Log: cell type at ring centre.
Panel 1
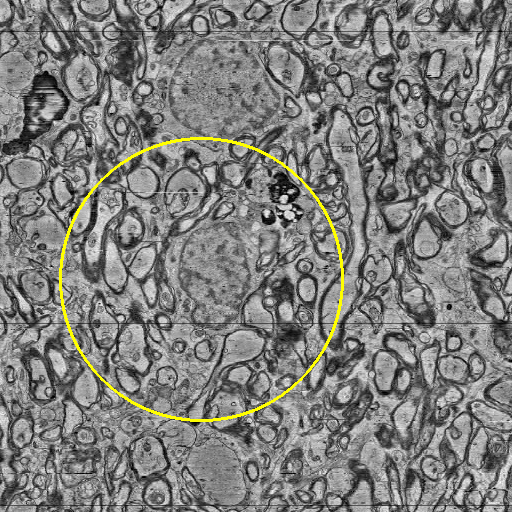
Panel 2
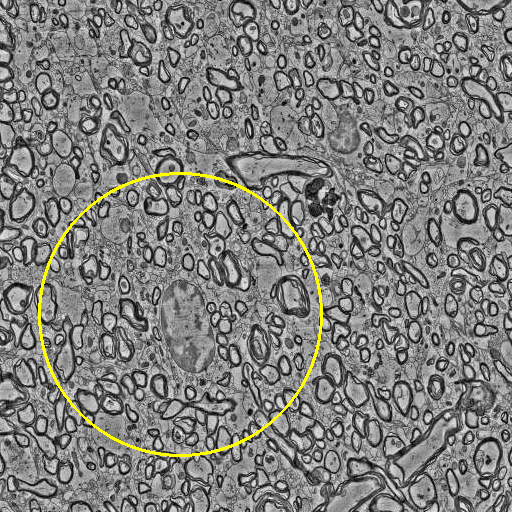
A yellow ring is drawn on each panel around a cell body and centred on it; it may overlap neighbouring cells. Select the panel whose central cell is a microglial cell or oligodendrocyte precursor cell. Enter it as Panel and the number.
Panel 2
